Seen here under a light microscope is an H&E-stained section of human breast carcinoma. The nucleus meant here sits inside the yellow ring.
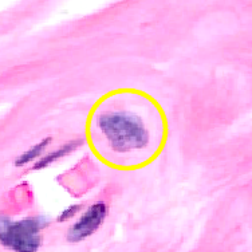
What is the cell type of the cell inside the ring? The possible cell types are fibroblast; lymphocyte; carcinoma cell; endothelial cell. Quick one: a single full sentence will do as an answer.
As for its identity, the cell inside the ring is an endothelial cell.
